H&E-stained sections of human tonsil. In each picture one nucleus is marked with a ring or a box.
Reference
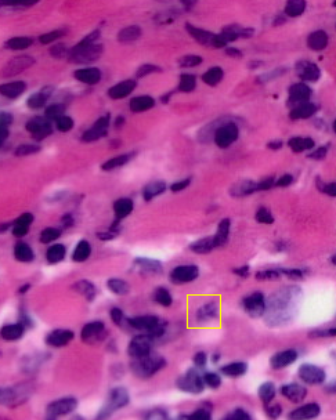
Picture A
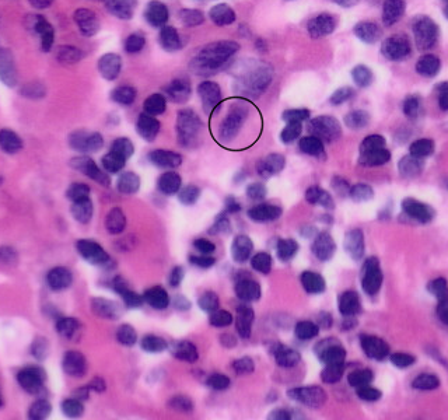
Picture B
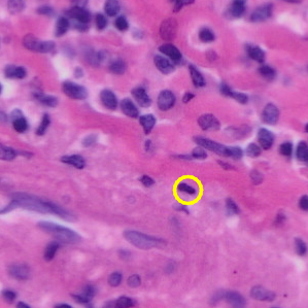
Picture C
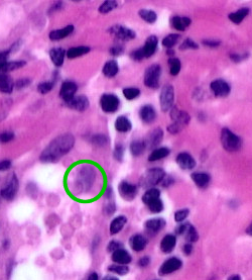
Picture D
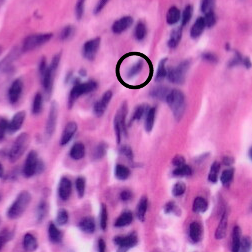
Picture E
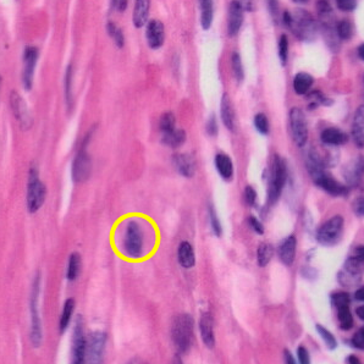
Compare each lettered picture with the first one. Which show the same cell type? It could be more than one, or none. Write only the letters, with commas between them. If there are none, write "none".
A, C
